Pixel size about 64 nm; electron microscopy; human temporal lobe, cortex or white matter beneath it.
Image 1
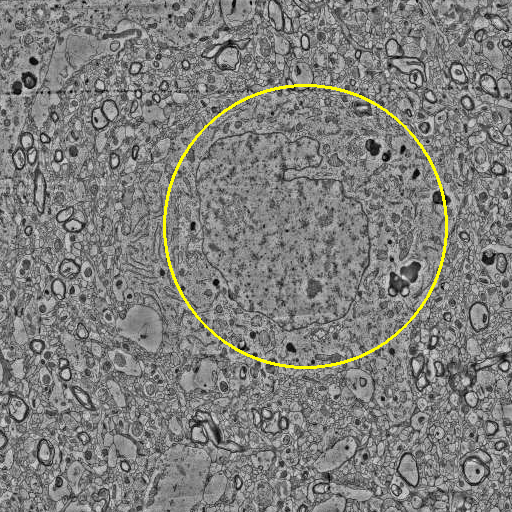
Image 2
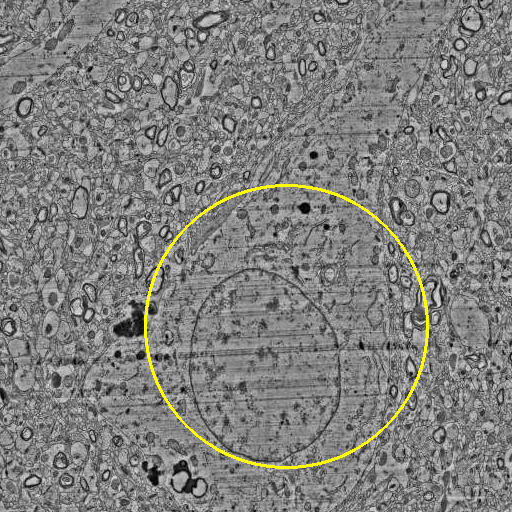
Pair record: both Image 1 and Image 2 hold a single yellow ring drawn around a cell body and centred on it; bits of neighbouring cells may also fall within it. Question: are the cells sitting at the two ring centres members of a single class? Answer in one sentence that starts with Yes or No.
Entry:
Yes, both ring-centre cells in Image 1 and Image 2 are members of one class.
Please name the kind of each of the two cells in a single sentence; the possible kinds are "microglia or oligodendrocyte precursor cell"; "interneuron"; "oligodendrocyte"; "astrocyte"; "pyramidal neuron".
In each picture the ringed cell is a pyramidal neuron.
